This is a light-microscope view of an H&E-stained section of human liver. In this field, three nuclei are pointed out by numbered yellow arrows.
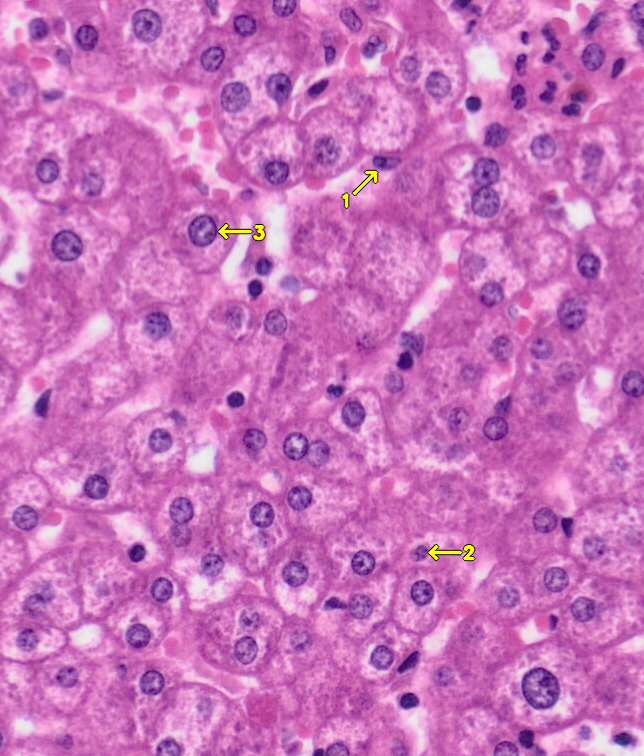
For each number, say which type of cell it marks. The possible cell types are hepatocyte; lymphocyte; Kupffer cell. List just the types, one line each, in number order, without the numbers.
Kupffer cell
lymphocyte
hepatocyte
